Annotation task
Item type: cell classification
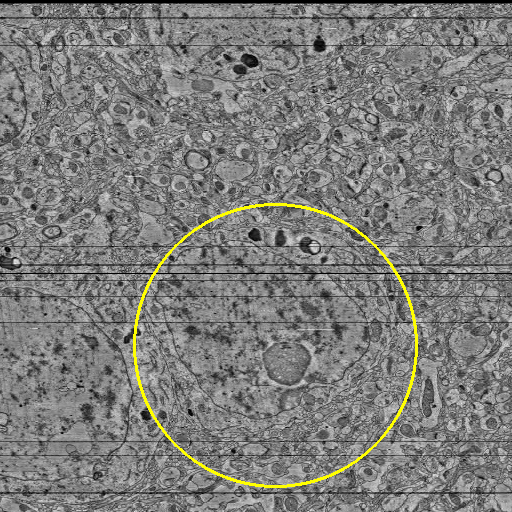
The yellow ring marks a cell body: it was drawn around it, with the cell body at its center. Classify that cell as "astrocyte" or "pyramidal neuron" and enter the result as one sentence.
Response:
The ring's center falls on a pyramidal neuron.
